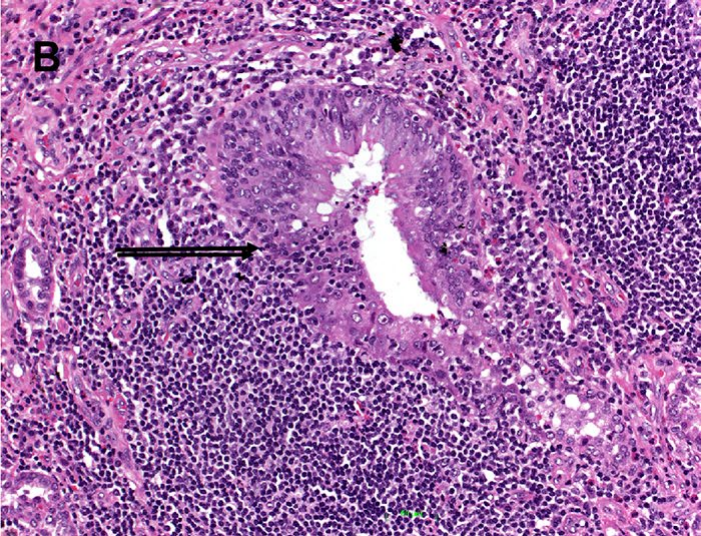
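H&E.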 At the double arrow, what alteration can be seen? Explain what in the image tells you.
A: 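Lymphoepithelial lesion. The double arrow points to an epithelial-lined lumen set within a sheet of small dark lymphocytes. Small dark nuclei lie among the epithelial cells of the lining. The epithelium has pink cytoplasm and larger, paler nuclei than the cells around it.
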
